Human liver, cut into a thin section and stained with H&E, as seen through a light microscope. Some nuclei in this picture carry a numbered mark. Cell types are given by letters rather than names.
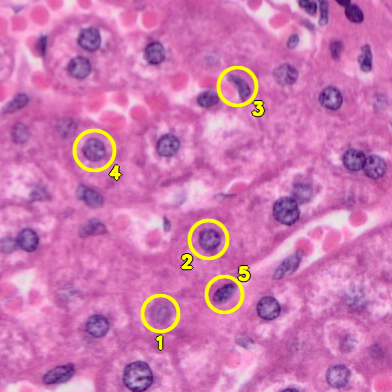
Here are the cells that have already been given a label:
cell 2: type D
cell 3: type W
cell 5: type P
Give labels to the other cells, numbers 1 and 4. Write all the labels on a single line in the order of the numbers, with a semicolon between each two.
type D; type D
